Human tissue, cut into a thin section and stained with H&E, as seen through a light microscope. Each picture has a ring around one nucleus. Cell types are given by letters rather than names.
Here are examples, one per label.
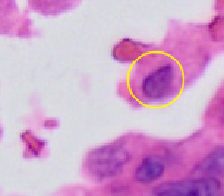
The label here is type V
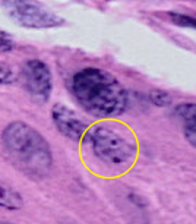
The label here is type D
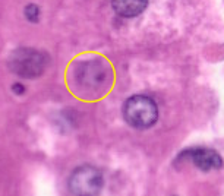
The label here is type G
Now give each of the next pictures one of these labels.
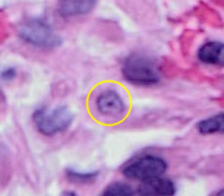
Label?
type V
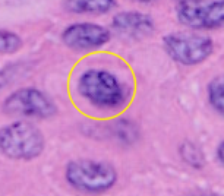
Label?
type D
